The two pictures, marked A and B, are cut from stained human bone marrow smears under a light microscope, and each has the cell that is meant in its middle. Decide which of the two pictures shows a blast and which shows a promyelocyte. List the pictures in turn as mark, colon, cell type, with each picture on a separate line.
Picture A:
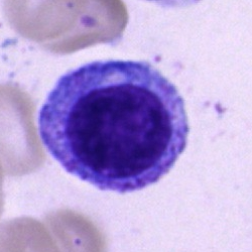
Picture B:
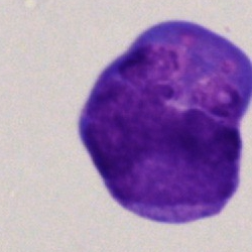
A: promyelocyte
B: blast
